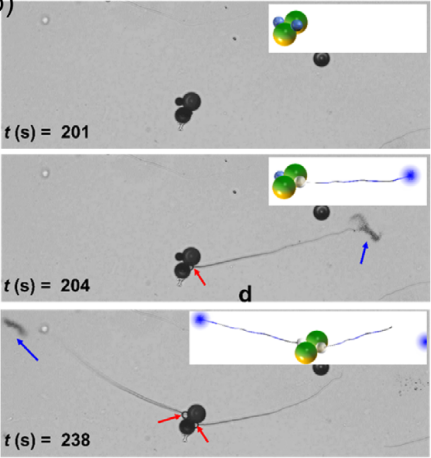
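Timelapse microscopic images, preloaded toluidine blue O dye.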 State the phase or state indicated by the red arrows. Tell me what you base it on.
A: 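Empty capsule bodies. The red arrows point to small pale oval bodies attached to the dark spheres. A long thin thread runs out from the marked bodies.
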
